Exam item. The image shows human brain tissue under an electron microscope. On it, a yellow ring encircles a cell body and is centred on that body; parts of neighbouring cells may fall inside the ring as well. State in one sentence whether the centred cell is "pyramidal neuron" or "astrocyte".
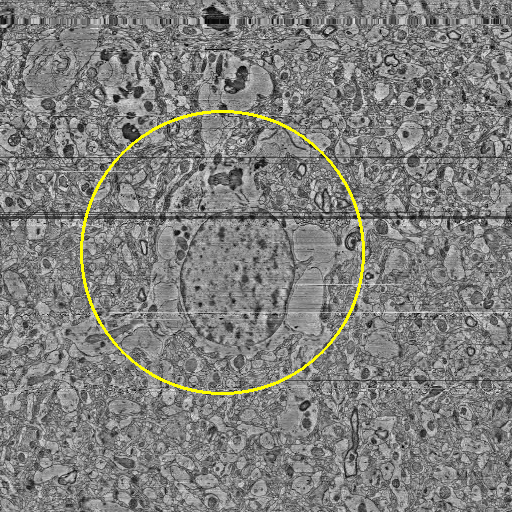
The cell body centred in the ring is an astrocyte.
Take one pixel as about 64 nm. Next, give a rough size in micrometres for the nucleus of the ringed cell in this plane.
Roughly 9 by 8 micrometres is the size of the nucleus in this plane.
